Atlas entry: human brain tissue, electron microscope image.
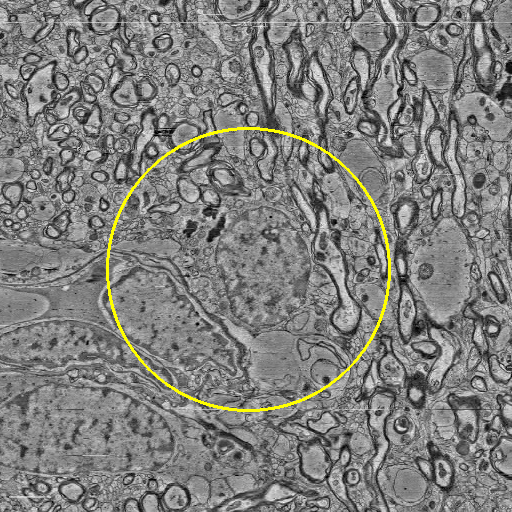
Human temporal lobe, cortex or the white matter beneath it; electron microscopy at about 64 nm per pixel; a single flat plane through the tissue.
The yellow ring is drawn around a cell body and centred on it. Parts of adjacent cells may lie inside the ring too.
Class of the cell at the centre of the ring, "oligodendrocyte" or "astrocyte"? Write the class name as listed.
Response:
oligodendrocyte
